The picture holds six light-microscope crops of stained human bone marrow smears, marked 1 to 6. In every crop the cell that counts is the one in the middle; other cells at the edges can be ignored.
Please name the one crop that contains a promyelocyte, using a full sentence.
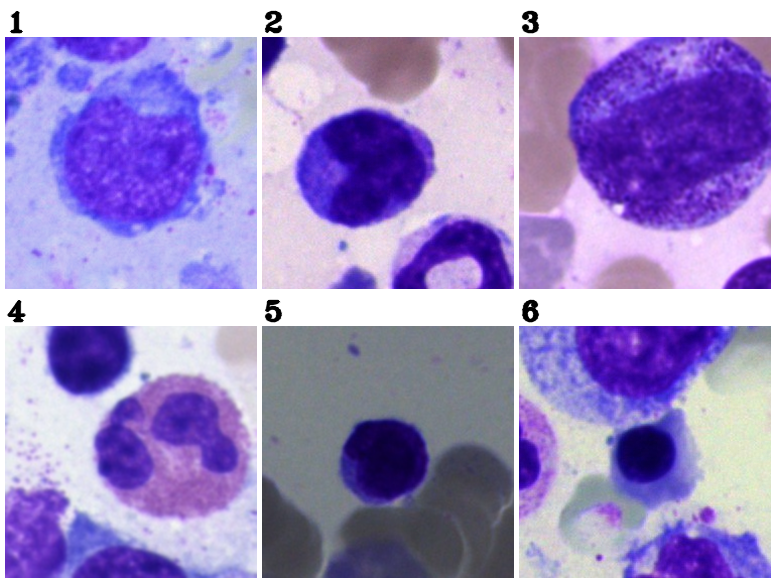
On review of the set, crop 3 is the one showing a promyelocyte.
